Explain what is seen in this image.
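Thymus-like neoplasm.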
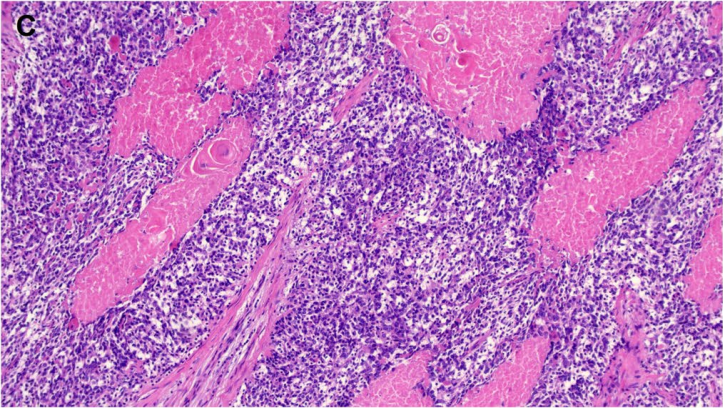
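A cellular tumor in which sheets of cells with dark nuclei are interrupted by several pink, structureless areas of necrosis lacking intact nuclei. Thin strands of fibrous stroma run between the cellular areas, and paler zones with looser cells lie within the sheets.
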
